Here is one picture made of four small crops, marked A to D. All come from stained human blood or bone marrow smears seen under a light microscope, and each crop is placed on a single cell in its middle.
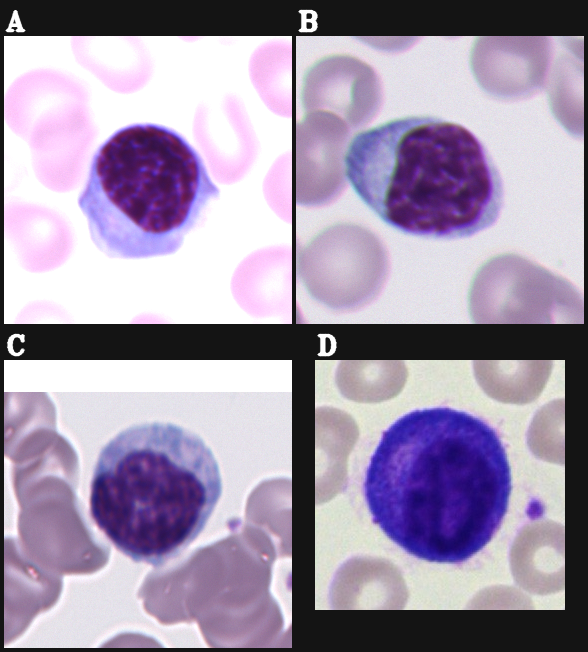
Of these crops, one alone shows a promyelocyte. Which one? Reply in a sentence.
Crop D is the crop that displays a promyelocyte.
